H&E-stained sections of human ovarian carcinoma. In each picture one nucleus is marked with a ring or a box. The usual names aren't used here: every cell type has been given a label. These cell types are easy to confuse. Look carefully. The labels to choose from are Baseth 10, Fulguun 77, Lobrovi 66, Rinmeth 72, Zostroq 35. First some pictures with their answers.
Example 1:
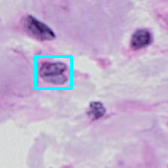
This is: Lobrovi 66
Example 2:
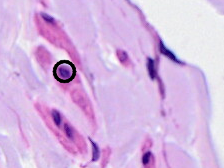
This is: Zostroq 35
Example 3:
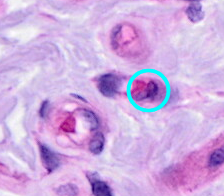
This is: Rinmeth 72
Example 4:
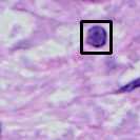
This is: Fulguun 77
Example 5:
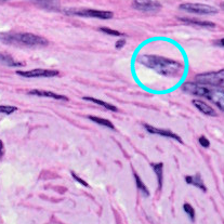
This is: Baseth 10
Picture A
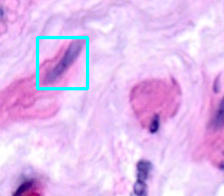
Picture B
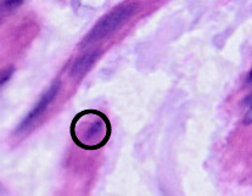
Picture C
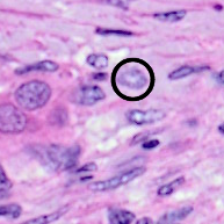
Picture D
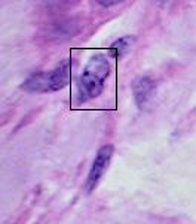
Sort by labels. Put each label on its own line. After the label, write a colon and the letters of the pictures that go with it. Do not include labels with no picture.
Baseth 10: C
Lobrovi 66: D
Zostroq 35: A, B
